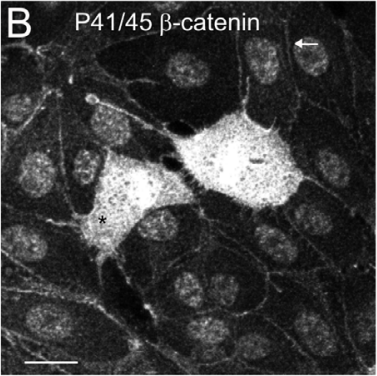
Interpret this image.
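A sheet of epithelial cells is shown in which thin bright lines outline the cell membranes. Most cells have an oval nucleus filled with fine bright speckles, clearly brighter than the surrounding cytoplasm. In the centre two large, irregularly shaped cells are intensely bright throughout their cytoplasm and show no distinct nucleus; these are cells in division. The dividing cells stand out against the dimmer, flatter neighbours that surround them.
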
